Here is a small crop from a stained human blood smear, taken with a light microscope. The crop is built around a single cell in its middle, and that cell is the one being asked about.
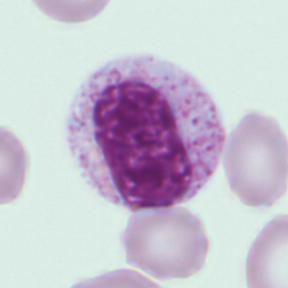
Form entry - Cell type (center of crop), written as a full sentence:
For this crop, the central cell is a metamyelocyte.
